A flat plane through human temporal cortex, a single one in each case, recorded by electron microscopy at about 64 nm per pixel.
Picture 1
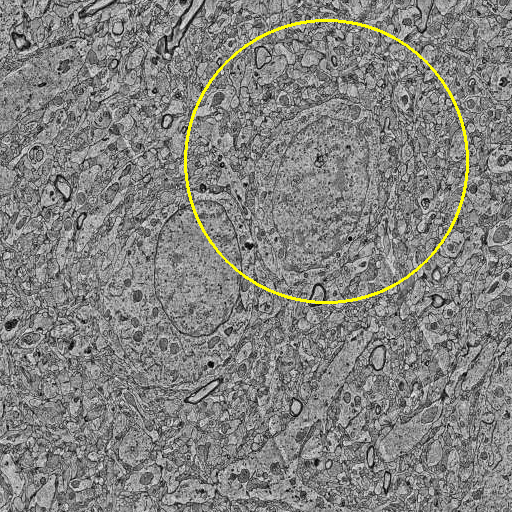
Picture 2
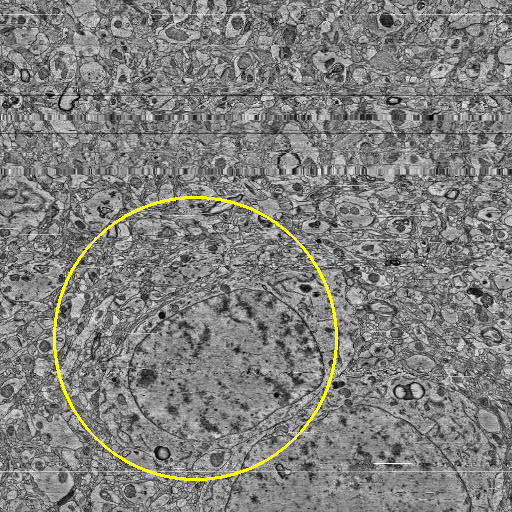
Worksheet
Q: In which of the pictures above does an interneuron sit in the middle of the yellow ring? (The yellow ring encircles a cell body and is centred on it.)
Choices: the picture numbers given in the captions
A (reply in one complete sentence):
In picture 1, the cell sitting at the centre of the ring is the match.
